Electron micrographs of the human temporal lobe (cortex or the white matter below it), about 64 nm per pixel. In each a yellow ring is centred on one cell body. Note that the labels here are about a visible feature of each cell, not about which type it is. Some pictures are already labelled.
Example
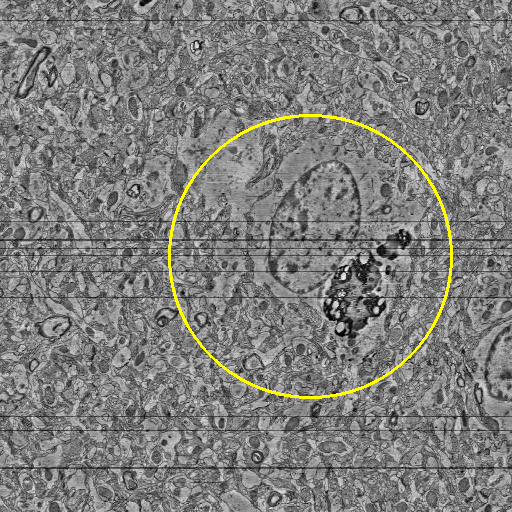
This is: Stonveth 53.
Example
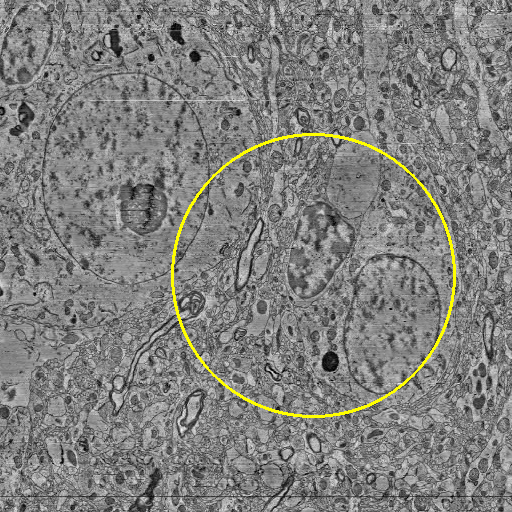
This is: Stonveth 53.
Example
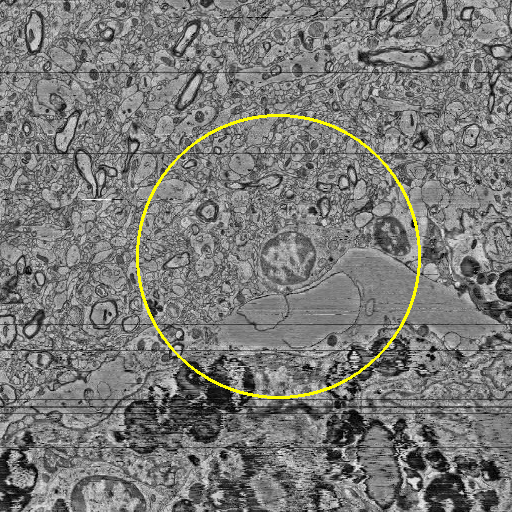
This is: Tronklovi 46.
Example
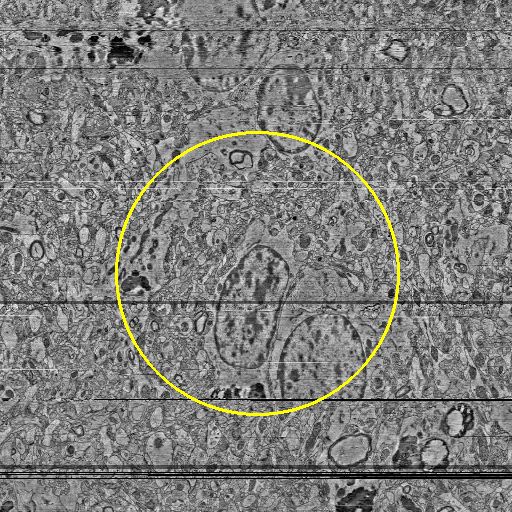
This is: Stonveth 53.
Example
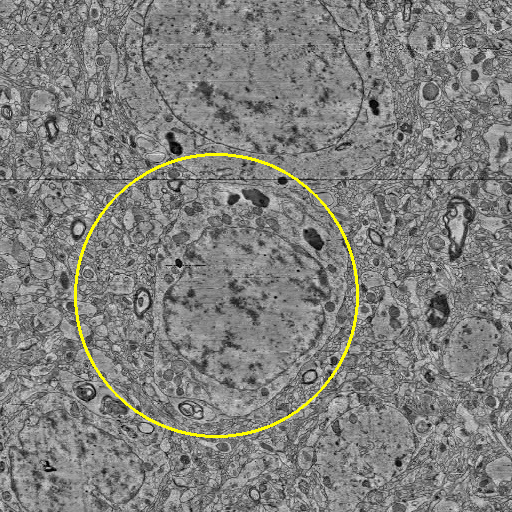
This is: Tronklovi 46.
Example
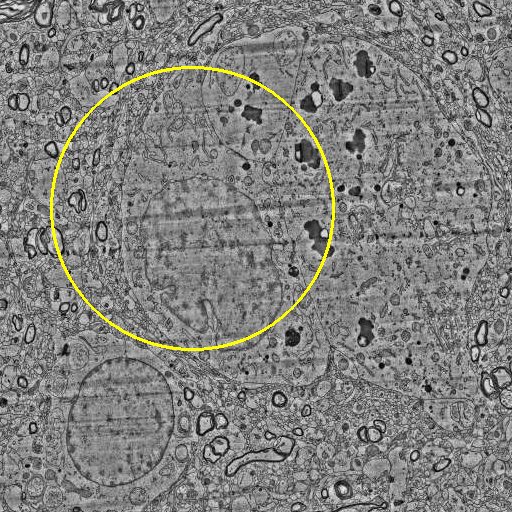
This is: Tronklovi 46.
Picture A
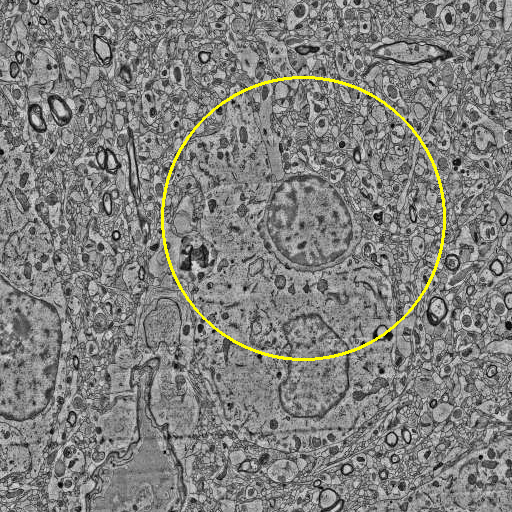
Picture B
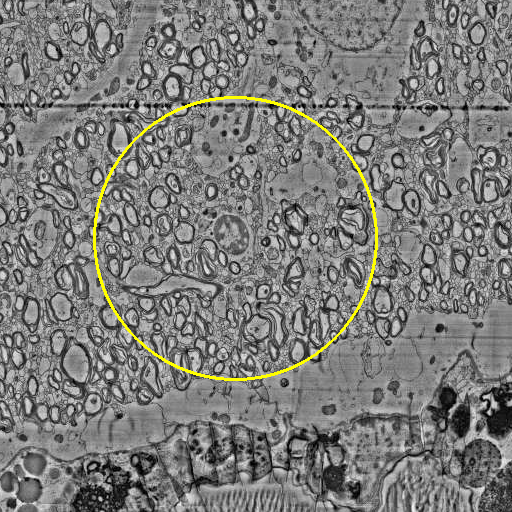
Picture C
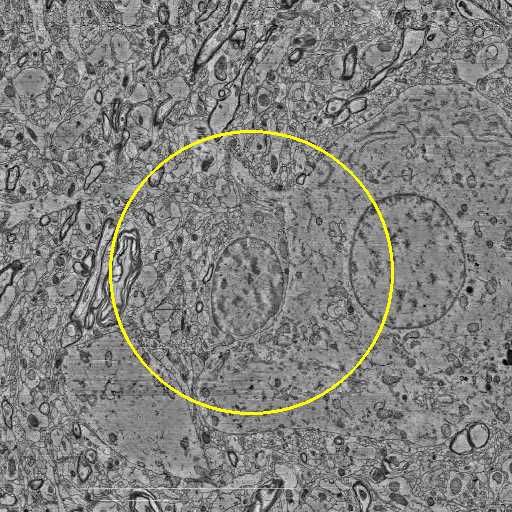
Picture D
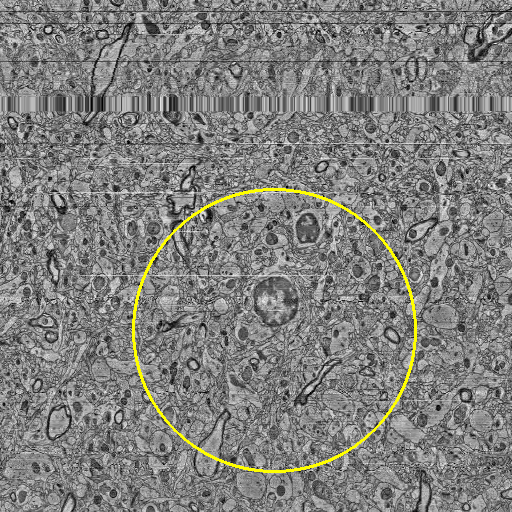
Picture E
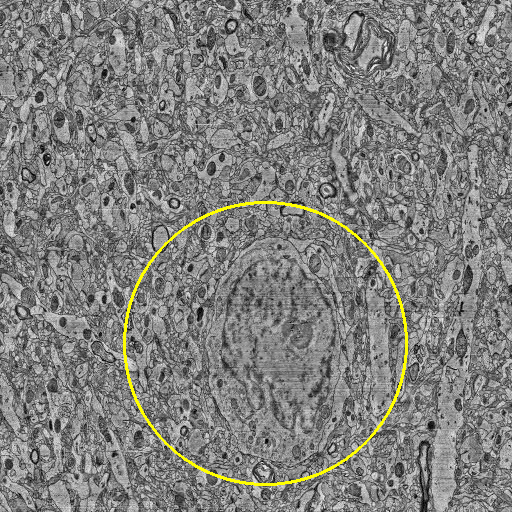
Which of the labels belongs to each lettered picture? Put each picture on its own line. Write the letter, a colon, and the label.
A: Tronklovi 46.
B: Tronklovi 46.
C: Stonveth 53.
D: Tronklovi 46.
E: Stonveth 53.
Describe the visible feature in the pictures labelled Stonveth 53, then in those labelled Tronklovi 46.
In Stonveth 53: clearly elongated nuclei. In Tronklovi 46: round or nearly round nuclei.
